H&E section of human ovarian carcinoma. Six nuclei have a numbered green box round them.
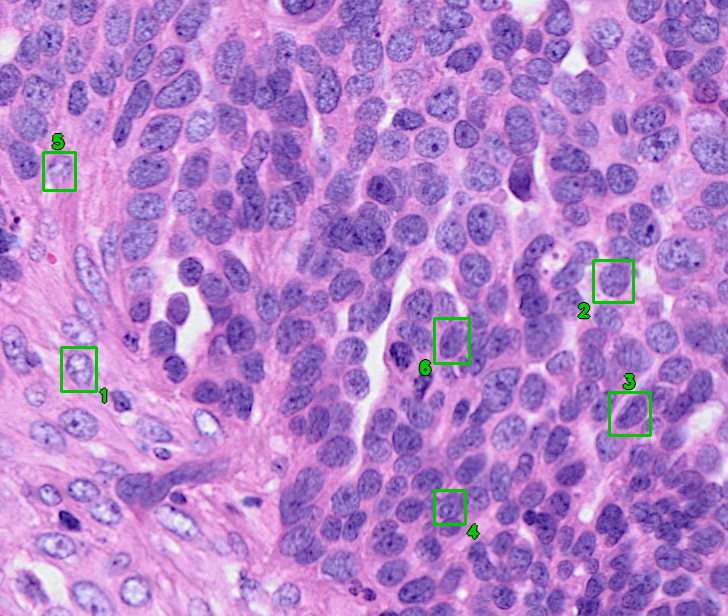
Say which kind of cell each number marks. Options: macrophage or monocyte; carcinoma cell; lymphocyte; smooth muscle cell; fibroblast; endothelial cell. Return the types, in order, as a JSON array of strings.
["fibroblast", "carcinoma cell", "carcinoma cell", "carcinoma cell", "fibroblast", "carcinoma cell"]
